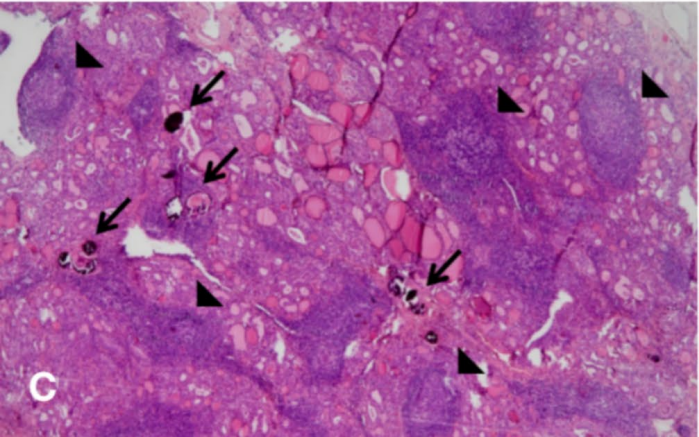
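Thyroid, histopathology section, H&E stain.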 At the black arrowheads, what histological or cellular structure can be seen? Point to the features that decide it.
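The arrowheads sit beside rounded, densely dark purple areas. These areas are packed with small cells and stand out from the paler follicle-rich parenchyma.
Conclusion: Lymphocytic follicles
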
